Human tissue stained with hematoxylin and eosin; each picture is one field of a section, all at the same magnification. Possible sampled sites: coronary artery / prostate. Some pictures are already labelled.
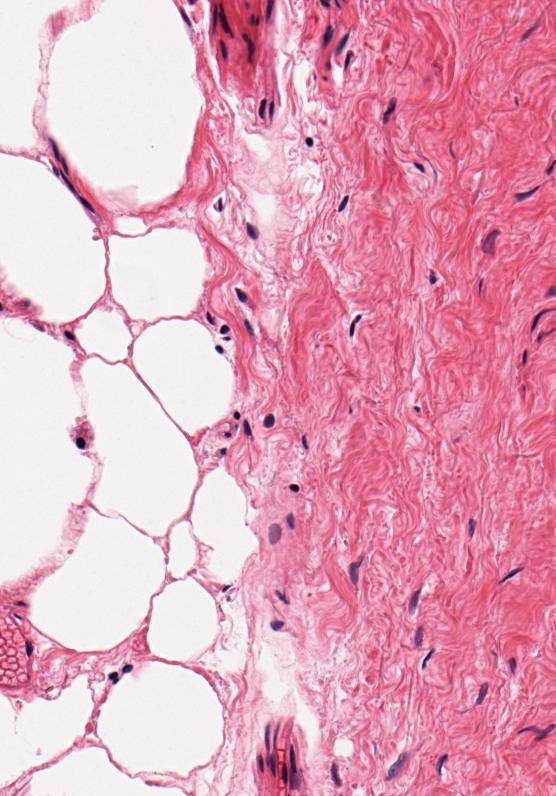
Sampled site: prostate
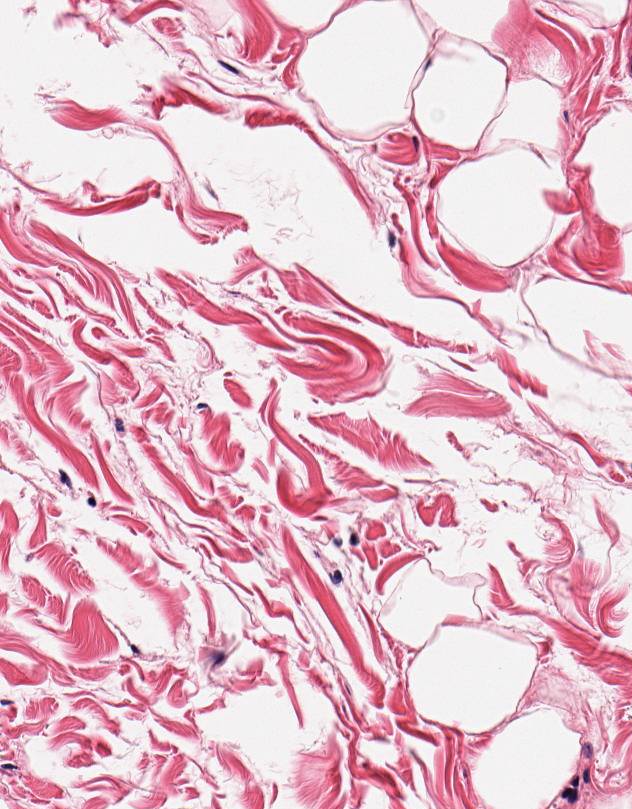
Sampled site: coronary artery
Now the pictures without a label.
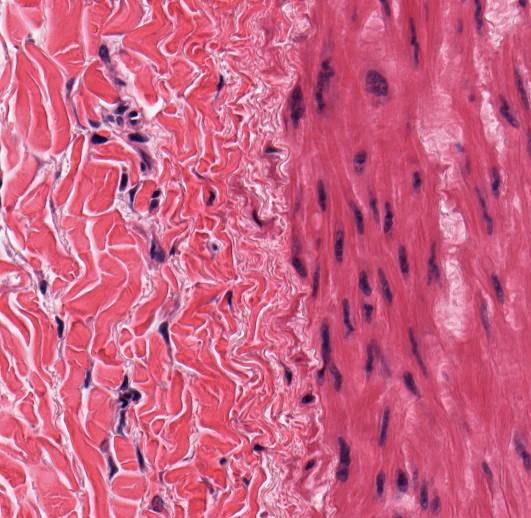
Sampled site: coronary artery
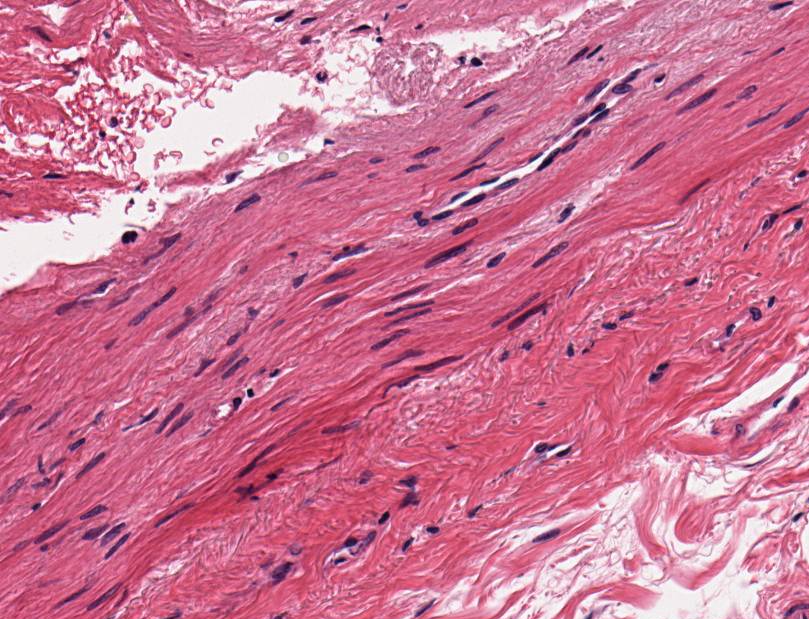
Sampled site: coronary artery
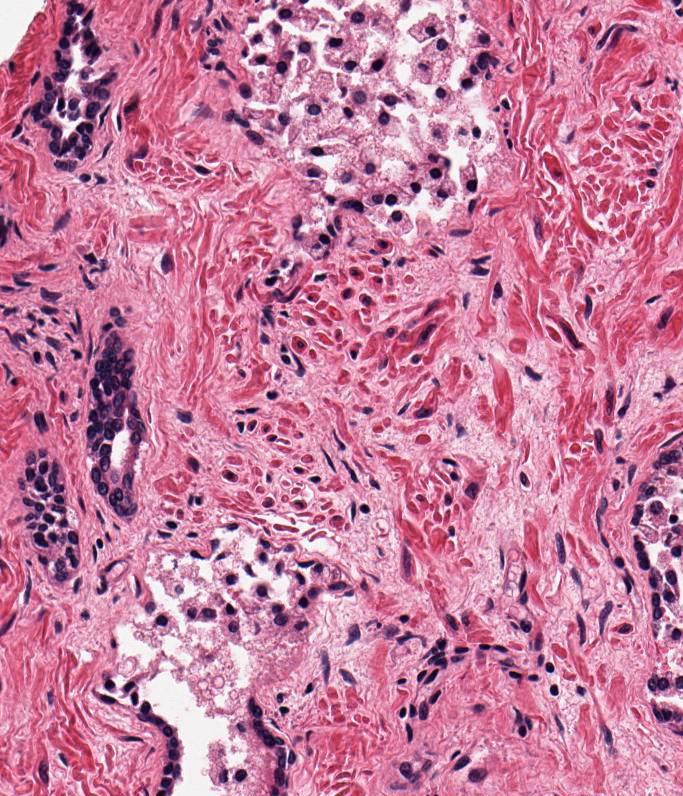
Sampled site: prostate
